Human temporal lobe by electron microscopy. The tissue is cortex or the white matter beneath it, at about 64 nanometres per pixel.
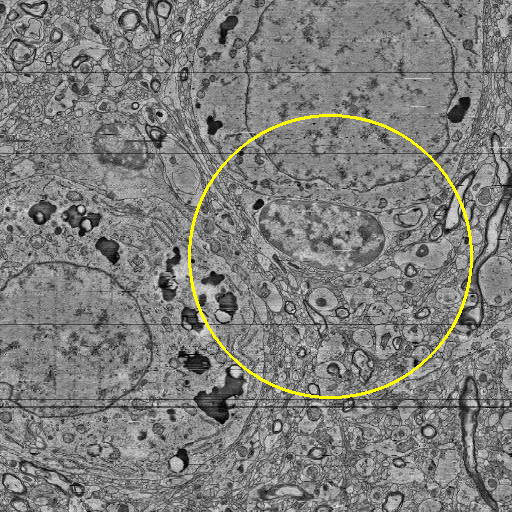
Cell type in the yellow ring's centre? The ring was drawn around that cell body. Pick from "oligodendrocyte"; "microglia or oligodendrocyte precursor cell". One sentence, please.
The ringed cell body is that of a microglial cell or oligodendrocyte precursor cell.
